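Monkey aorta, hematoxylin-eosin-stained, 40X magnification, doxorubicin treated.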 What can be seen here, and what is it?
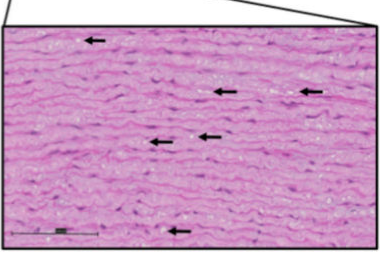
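This is the media of the aortic wall, showing intracellular vacuolization among its stacked layers. Pink, wavy layers run in parallel across the field, with elongated purple nuclei lying between and along them. Scattered throughout are many small, clear, unstained round spaces, the vacuoles, lying between and within the layers. These clear spaces give the tissue a speckled, lighter look compared with a compact wall. Black arrows point to several of the vacuoles.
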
